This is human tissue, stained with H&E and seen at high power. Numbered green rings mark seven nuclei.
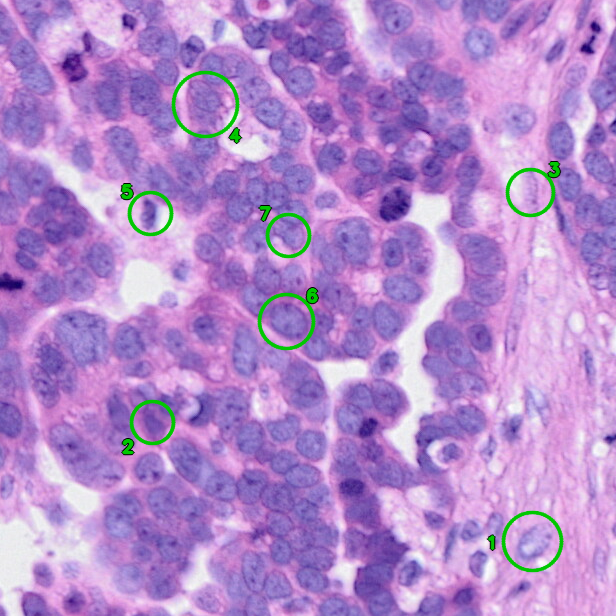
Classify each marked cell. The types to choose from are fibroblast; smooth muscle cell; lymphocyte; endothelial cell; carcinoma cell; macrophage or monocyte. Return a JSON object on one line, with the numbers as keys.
{"1": "fibroblast", "2": "carcinoma cell", "3": "fibroblast", "4": "carcinoma cell", "5": "macrophage or monocyte", "6": "carcinoma cell", "7": "carcinoma cell"}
